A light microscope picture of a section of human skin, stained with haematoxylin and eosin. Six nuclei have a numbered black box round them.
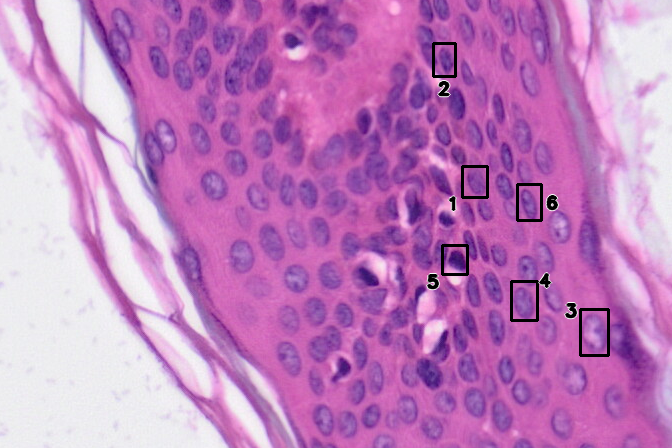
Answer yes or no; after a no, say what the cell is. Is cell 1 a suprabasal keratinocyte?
No, it is a basal keratinocyte.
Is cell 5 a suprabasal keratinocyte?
No, it is a basal keratinocyte.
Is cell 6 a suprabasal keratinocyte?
Yes.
